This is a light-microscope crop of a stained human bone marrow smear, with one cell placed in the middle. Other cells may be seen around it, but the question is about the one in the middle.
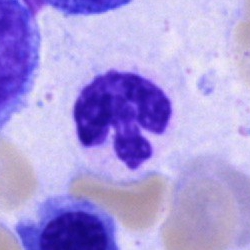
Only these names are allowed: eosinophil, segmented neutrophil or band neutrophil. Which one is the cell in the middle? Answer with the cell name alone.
segmented neutrophil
